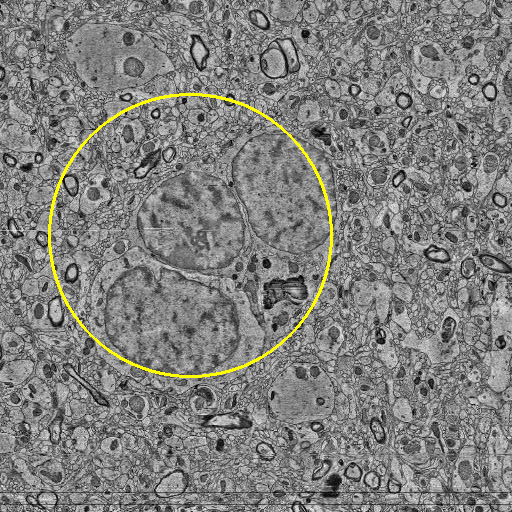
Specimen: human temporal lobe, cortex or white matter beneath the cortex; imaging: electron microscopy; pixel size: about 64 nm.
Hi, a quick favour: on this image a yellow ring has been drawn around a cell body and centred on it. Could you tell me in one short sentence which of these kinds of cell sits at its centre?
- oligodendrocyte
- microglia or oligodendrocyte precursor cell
The ring is centred on an oligodendrocyte.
